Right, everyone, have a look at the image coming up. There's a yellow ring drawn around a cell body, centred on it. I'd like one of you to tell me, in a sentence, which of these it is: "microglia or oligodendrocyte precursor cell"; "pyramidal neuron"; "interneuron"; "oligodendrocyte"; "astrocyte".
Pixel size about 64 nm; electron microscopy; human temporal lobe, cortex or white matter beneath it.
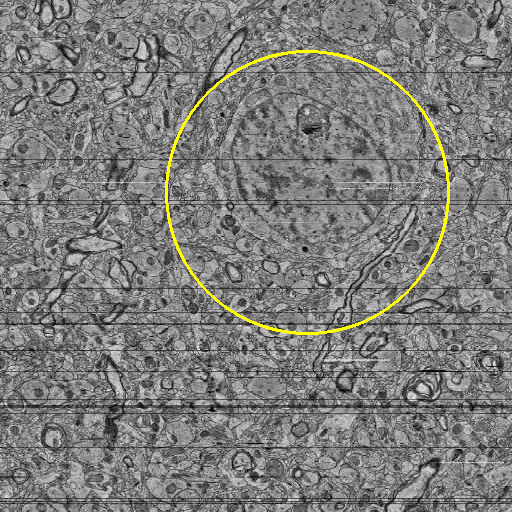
The yellow ring sits on an interneuron.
